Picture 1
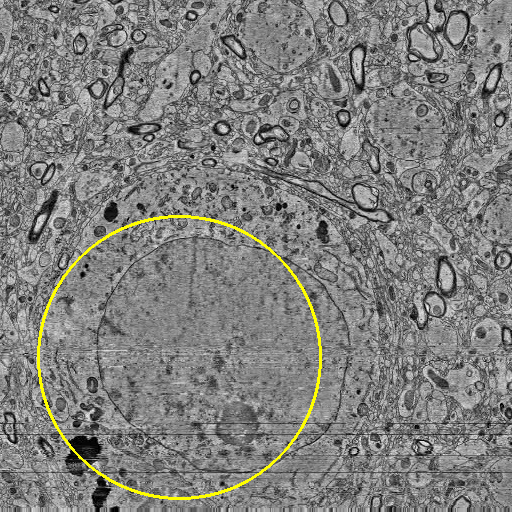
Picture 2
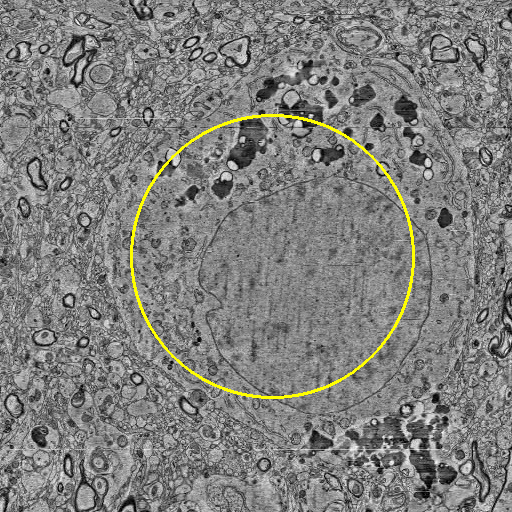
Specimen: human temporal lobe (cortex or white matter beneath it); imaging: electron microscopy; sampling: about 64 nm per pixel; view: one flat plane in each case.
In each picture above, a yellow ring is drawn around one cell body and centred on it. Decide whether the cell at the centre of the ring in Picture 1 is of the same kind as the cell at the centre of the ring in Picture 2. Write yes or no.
yes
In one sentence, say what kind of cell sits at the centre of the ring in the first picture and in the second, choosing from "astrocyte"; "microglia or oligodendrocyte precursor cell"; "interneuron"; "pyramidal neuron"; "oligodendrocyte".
The second cell is a pyramidal neuron, just as the first is.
